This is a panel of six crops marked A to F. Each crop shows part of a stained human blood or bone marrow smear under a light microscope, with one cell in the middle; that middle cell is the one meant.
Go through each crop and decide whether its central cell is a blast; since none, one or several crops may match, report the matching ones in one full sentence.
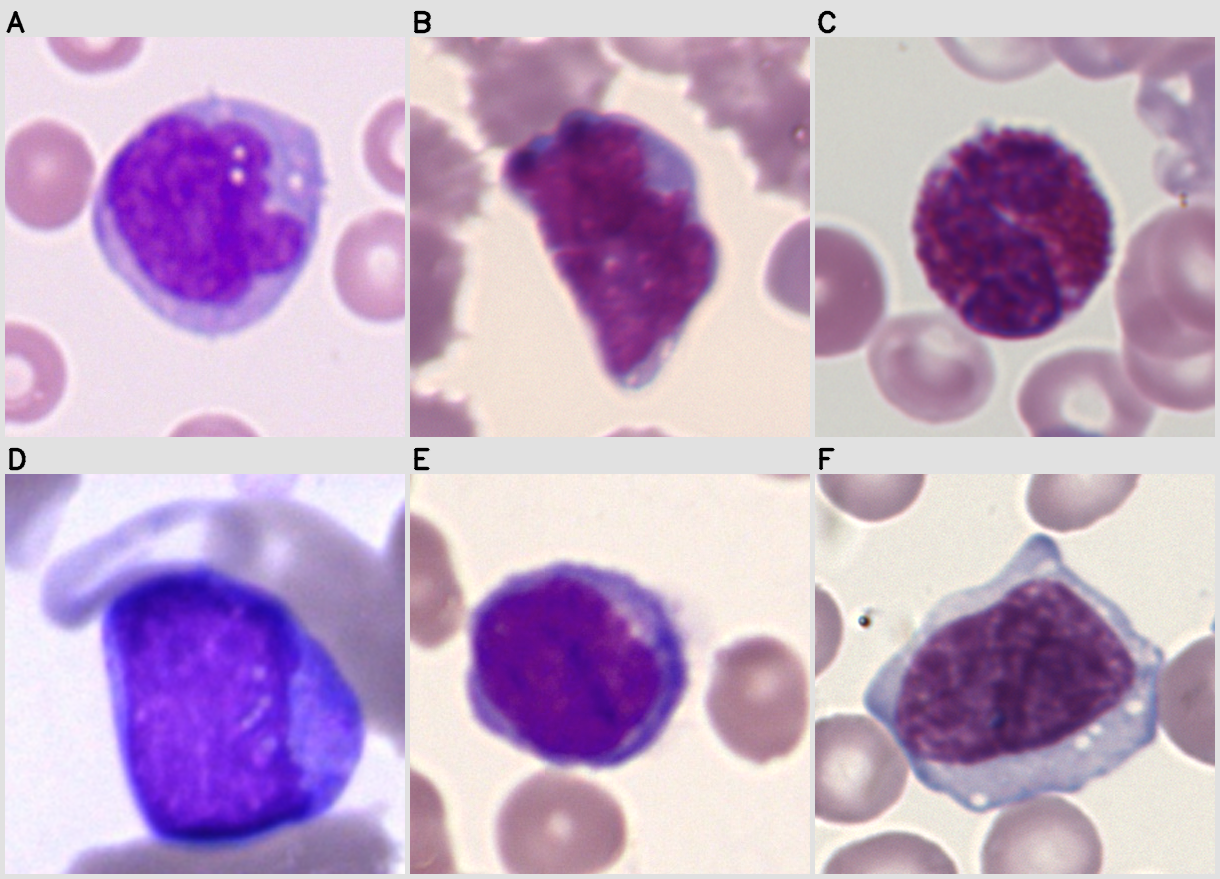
Crops B, D, E and F show blasts as their centred cells.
